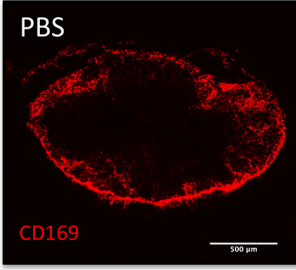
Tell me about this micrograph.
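Section of a lymph node, oval in outline, with red-stained subcapsular sinus macrophages. Fainter red cells run inward in streaks and patches from the rim, while the central area is largely unstained and dark. No other cell detail is resolved at this magnification; individual red cells show only as small dots and short strands within the band.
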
